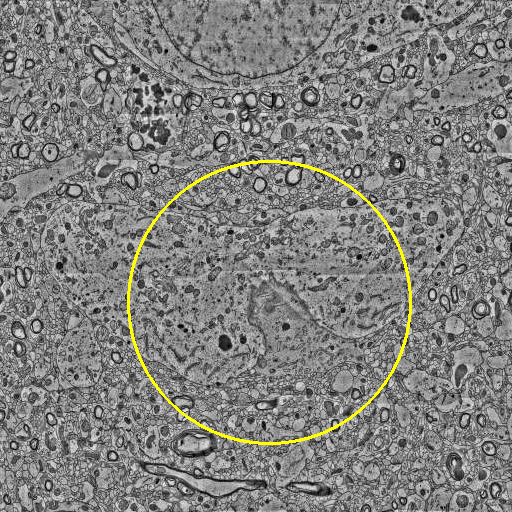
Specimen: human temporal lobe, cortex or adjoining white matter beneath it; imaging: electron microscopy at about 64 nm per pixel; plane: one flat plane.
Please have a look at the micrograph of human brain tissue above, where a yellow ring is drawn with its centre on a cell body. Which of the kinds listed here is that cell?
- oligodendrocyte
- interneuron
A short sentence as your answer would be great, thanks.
At the centre of the ring sits an oligodendrocyte.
